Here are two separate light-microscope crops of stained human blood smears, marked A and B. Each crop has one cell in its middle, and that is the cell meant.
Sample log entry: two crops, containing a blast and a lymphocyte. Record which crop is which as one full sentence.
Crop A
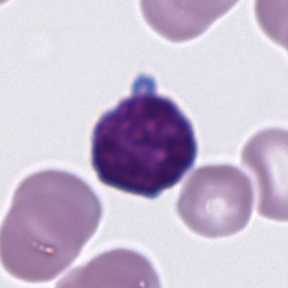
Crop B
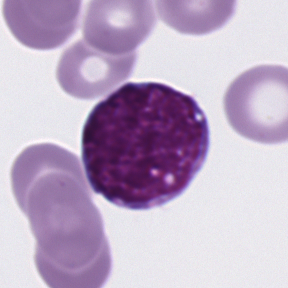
Crop A features a lymphocyte, while crop B features a blast.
